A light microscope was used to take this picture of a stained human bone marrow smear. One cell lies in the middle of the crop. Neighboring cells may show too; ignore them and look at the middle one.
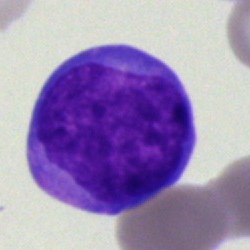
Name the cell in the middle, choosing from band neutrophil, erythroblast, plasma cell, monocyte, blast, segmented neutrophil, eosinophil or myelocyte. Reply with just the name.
blast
